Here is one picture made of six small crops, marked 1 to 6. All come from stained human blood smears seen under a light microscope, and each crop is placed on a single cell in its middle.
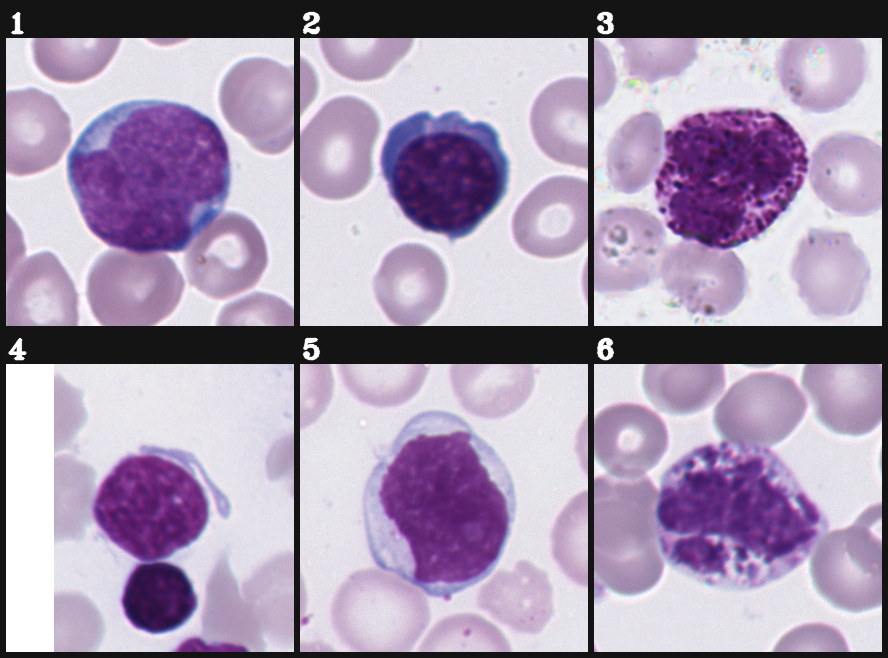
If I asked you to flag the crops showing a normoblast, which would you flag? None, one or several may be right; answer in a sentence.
With the exception of crop 2, the crops do not show a normoblast.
